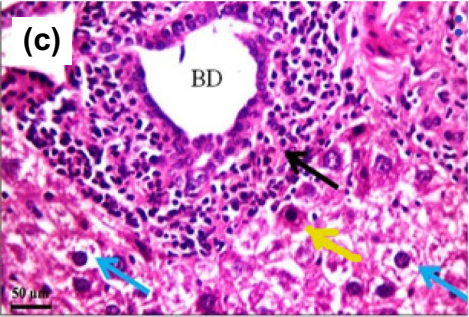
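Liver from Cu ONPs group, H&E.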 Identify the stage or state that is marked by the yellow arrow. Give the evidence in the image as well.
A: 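A hepatocyte with a small, dense, dark nucleus. Its cytoplasm is more eosinophilic than that of neighbouring cells. That points to this answer: apoptosis.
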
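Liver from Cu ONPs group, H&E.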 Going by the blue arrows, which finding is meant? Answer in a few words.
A: Hydropic change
